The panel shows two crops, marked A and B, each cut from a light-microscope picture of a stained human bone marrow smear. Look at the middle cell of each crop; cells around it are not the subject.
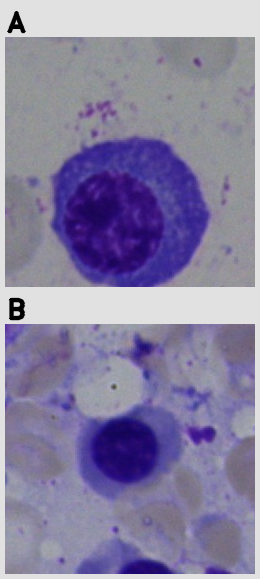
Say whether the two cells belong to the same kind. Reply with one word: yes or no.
no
